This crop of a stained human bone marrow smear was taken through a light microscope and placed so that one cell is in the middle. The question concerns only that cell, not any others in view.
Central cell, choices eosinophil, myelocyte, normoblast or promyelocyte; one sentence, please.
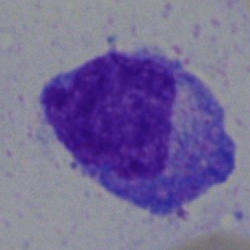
In the middle of this smear crop is a promyelocyte.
